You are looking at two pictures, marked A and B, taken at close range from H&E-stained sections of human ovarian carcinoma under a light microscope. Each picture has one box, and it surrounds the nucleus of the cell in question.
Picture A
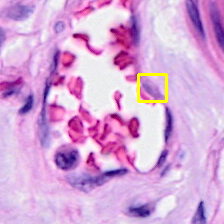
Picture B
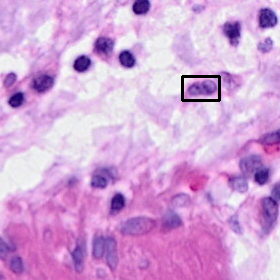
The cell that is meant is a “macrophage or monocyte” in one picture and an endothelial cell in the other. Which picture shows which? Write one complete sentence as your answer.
The cell in picture A is an endothelial cell, and the one in picture B is a “macrophage or monocyte”.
